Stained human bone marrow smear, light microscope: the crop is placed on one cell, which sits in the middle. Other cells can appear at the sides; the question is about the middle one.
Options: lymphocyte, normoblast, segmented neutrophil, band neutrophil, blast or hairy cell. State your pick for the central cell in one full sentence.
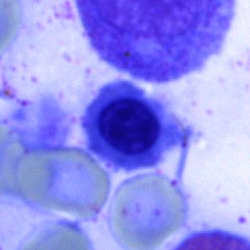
Looking at the middle of the crop, the cell there is a normoblast.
